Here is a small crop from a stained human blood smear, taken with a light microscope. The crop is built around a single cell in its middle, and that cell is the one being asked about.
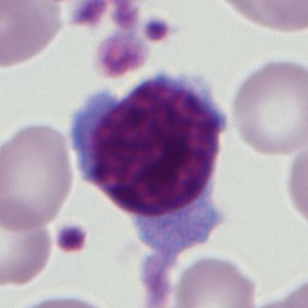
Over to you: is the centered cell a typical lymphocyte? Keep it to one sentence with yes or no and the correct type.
Yes, the cell occupying the center is a typical lymphocyte.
